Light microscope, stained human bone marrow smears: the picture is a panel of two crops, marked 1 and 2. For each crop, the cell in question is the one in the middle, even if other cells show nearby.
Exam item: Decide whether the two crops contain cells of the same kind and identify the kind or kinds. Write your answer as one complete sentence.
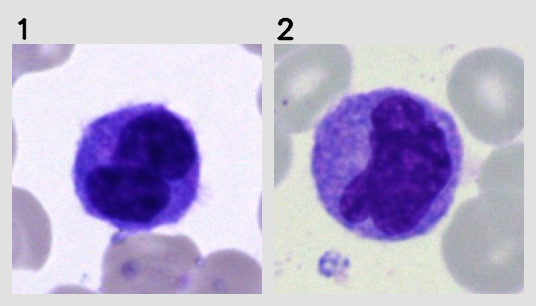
Yes, as an answer for this item, both crops show monocytes.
